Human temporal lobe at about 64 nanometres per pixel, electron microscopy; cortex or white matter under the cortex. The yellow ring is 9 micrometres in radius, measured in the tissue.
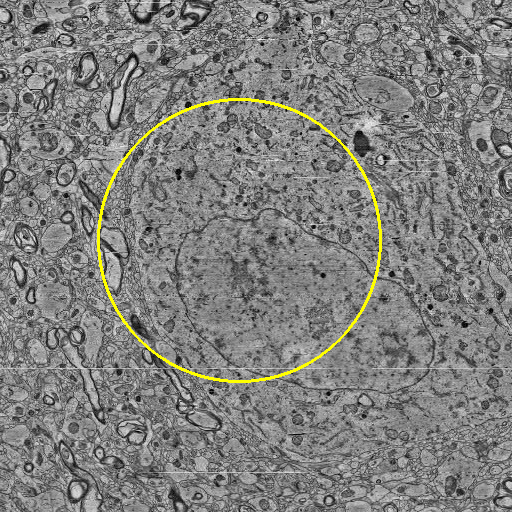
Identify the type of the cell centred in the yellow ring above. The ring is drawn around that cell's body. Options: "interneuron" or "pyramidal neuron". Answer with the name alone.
pyramidal neuron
